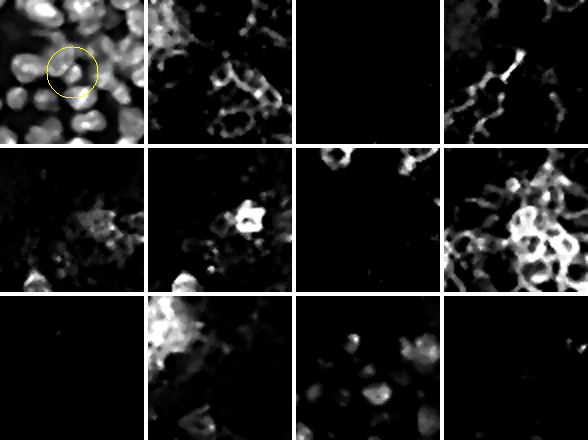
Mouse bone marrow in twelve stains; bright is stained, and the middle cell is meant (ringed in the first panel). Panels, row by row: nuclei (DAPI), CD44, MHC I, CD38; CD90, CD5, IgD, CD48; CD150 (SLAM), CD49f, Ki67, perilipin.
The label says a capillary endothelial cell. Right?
Right.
